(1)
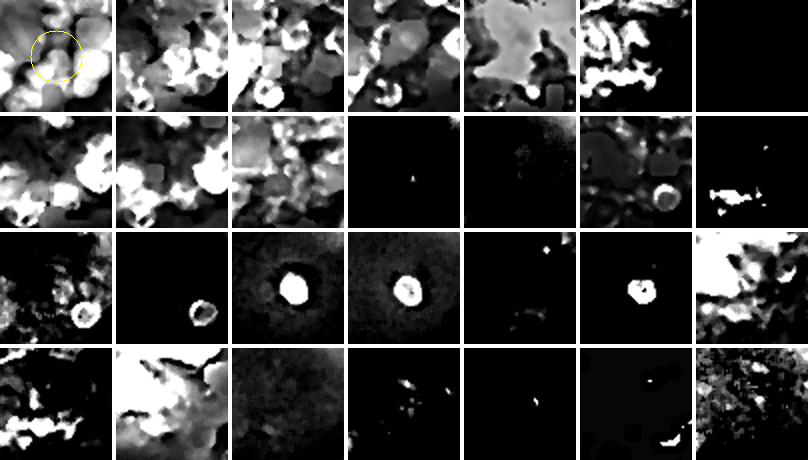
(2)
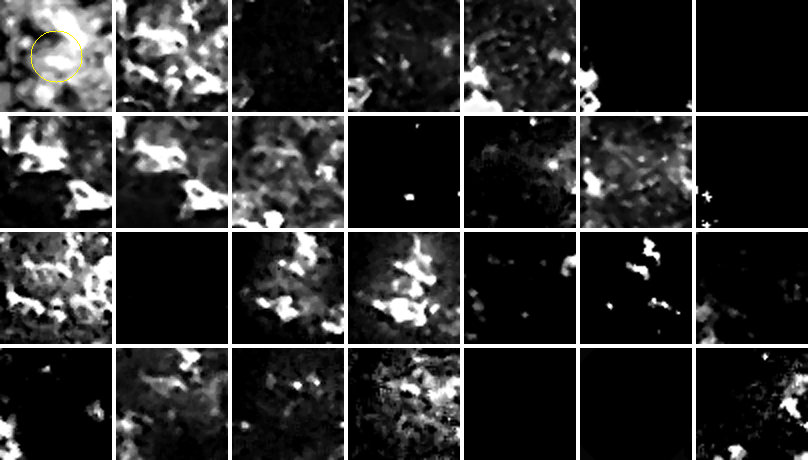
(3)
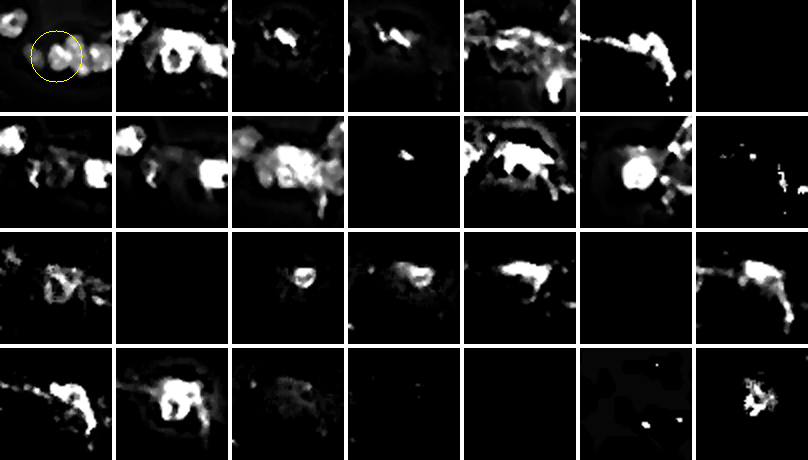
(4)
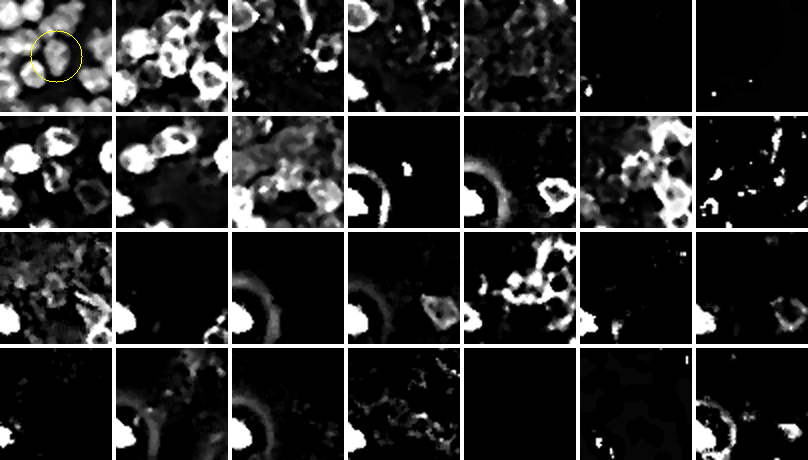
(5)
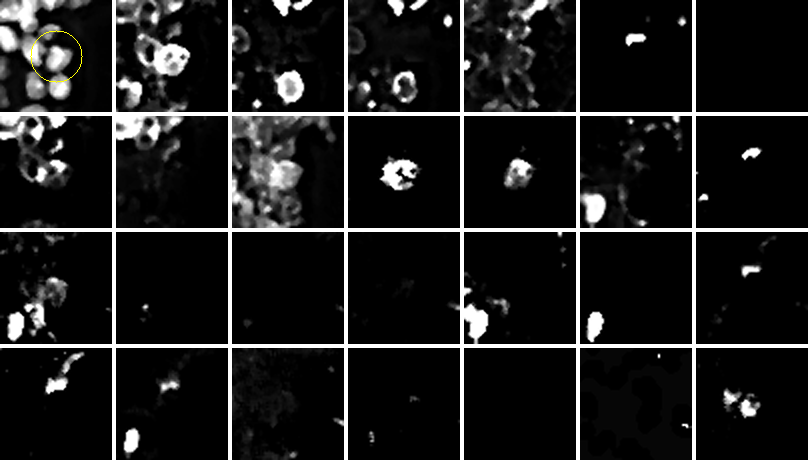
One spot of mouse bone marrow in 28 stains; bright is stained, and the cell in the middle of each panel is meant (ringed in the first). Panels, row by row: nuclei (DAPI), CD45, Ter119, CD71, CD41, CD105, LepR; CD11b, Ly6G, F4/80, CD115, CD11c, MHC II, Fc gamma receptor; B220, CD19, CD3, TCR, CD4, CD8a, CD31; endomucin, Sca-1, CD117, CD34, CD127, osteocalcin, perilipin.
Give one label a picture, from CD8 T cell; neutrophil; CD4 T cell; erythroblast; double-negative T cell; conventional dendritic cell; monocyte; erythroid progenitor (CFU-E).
1: CD8 T cell
2: double-negative T cell
3: conventional dendritic cell
4: monocyte
5: monocyte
